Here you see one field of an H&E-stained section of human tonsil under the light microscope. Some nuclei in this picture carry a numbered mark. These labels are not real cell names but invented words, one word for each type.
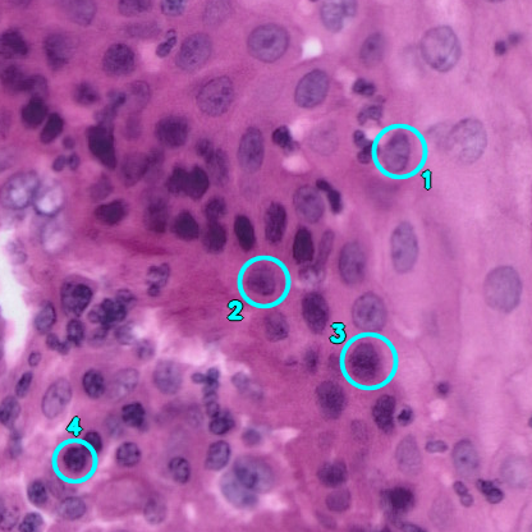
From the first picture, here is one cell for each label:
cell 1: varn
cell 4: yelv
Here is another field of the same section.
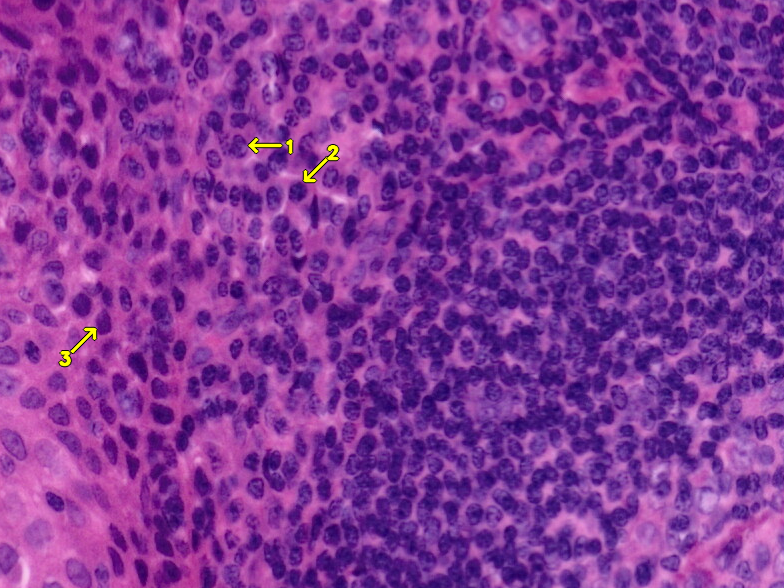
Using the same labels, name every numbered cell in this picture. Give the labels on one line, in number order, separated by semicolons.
yelv; yelv; varn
